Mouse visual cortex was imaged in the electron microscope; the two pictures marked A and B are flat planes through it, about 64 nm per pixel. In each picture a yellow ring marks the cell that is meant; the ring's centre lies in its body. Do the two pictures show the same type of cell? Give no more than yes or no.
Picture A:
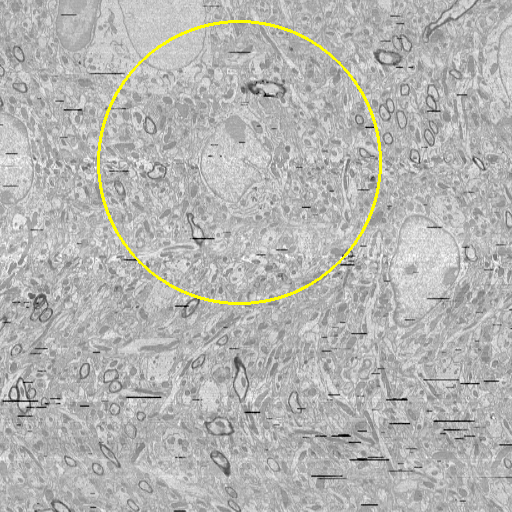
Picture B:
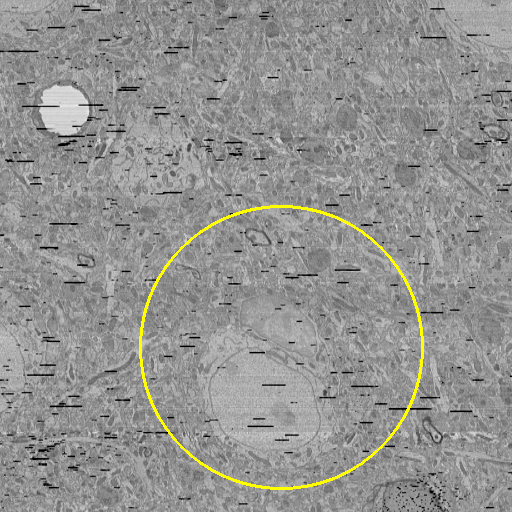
no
